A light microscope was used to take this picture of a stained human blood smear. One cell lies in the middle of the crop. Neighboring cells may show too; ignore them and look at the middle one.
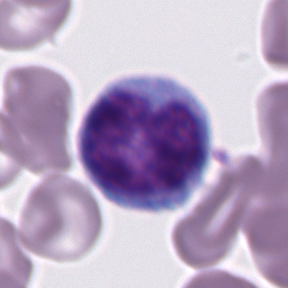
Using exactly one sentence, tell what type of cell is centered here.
In short, the cell at the center is a monocyte.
